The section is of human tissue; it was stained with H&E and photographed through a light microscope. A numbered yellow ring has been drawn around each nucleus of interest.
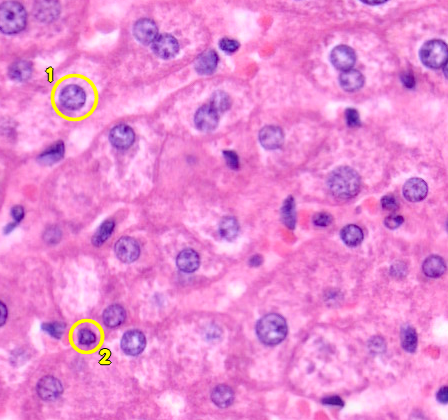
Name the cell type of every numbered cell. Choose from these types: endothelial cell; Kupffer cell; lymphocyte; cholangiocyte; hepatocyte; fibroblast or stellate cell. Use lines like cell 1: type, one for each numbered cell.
cell 1: hepatocyte
cell 2: fibroblast or stellate cell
